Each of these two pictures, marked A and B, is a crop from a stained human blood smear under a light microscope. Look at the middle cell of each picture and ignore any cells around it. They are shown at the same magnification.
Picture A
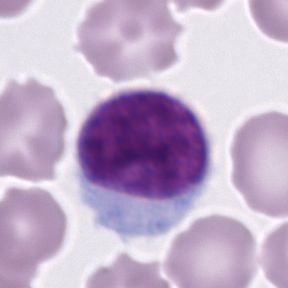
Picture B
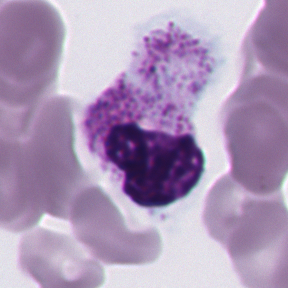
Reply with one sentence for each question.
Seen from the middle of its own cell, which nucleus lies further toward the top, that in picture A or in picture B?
The nucleus in picture A lies further toward the top of its cell.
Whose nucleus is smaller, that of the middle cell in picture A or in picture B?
It is the nucleus in picture B; the one in picture A has about 2 times its area.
